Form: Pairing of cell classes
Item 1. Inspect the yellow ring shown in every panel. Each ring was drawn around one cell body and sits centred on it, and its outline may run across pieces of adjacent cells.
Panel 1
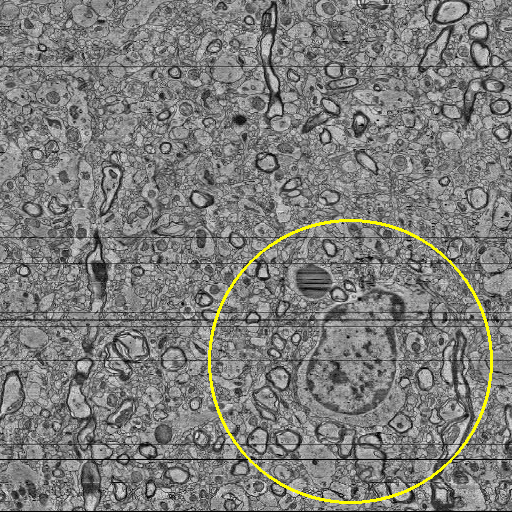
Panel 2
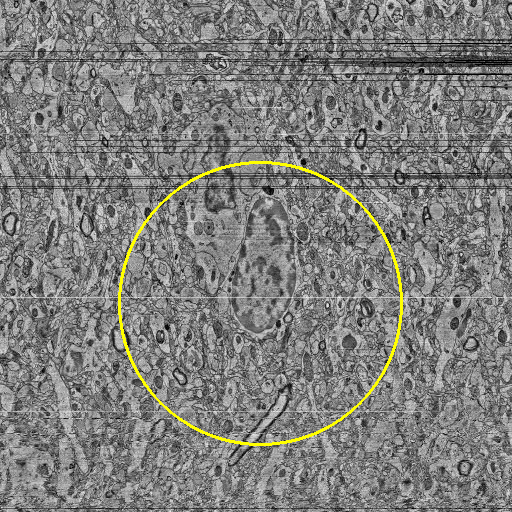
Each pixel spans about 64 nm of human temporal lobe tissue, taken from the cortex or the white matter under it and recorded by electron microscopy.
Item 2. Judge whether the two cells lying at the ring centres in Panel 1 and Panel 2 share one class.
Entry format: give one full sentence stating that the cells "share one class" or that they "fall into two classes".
The cells at the ring centres in Panel 1 and Panel 2 share one class.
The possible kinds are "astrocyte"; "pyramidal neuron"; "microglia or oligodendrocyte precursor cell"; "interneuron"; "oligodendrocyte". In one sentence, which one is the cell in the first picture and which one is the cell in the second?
Both rings mark a microglial cell or oligodendrocyte precursor cell, one in each picture.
